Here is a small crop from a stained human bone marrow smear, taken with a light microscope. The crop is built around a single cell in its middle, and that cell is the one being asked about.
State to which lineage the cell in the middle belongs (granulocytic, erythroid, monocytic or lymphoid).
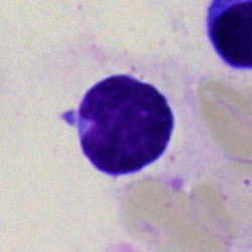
lymphoid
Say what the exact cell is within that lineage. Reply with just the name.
lymphocyte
